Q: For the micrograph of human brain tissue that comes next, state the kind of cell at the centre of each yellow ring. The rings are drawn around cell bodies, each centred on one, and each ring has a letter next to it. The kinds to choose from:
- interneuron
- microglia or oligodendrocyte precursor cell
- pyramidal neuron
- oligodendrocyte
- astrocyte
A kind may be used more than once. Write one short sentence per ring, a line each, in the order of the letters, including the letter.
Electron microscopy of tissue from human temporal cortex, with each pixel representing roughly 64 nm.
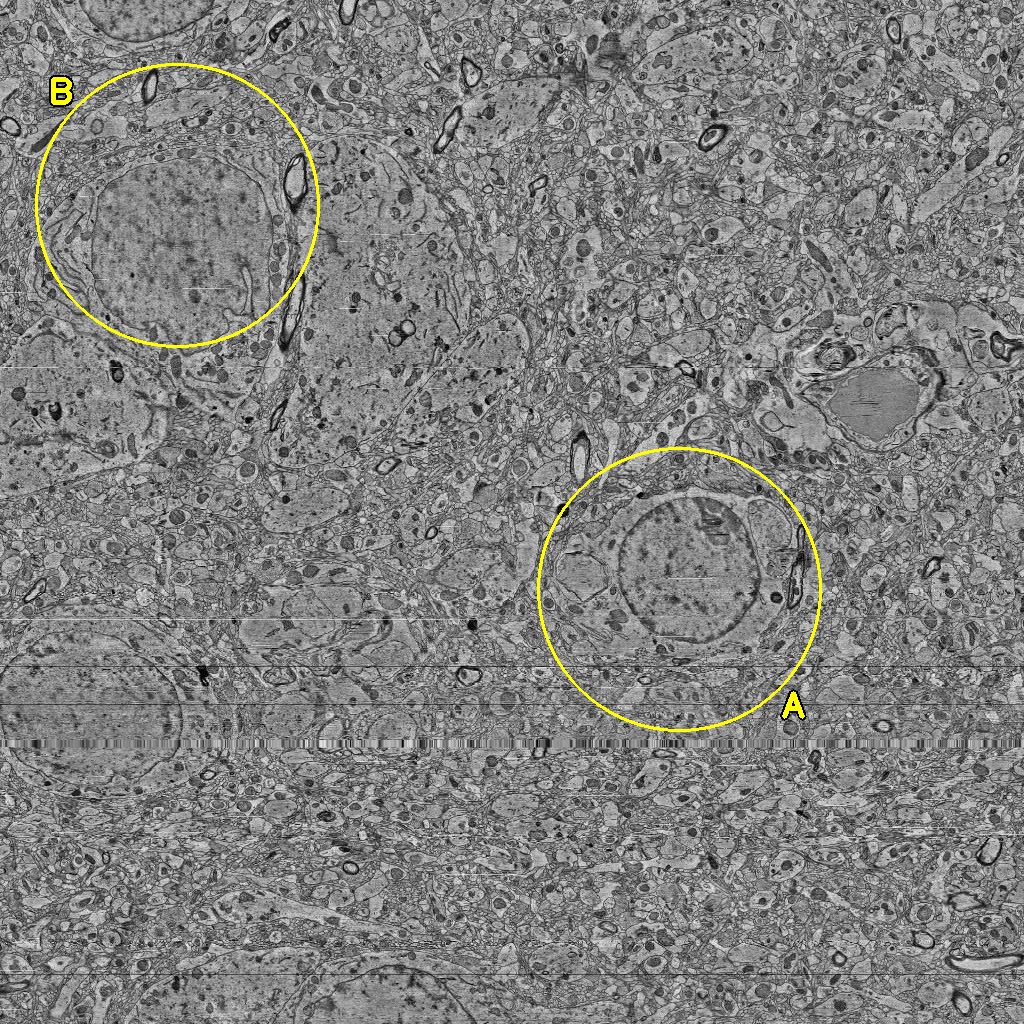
The cell ringed as A is an astrocyte.
The cell ringed as B is an interneuron.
